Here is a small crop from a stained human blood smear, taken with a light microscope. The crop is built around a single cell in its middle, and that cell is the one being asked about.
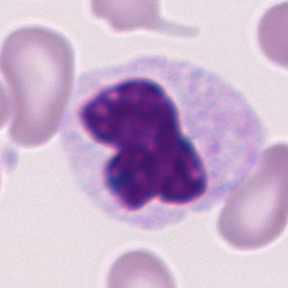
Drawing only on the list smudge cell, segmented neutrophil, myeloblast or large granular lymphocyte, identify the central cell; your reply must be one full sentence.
The cell at the centre of the field is a segmented neutrophil.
